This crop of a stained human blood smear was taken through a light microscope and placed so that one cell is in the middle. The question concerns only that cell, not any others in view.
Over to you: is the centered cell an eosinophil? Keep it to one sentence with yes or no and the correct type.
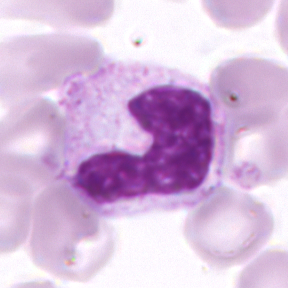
No, this cell in the middle is a band neutrophil, so it is not an eosinophil.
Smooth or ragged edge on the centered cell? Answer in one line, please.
Irregularity marks the cell border, whether as raggedness or as projections.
